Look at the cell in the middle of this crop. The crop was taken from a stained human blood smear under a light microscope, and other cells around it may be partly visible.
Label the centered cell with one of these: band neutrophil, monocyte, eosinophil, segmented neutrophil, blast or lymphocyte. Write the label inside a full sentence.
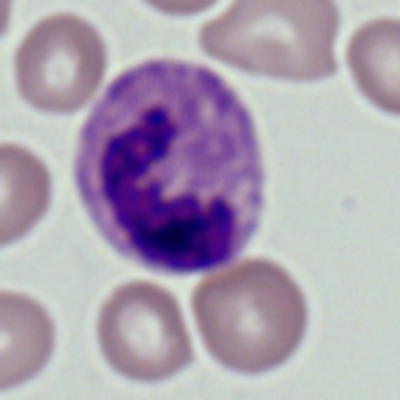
The cell centered in this field of view is a segmented neutrophil.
